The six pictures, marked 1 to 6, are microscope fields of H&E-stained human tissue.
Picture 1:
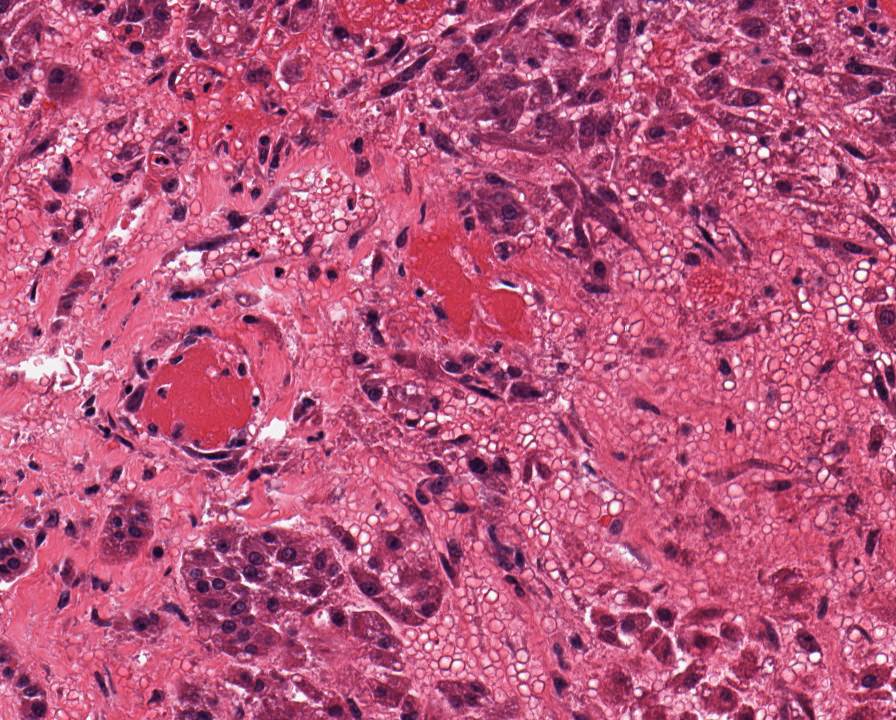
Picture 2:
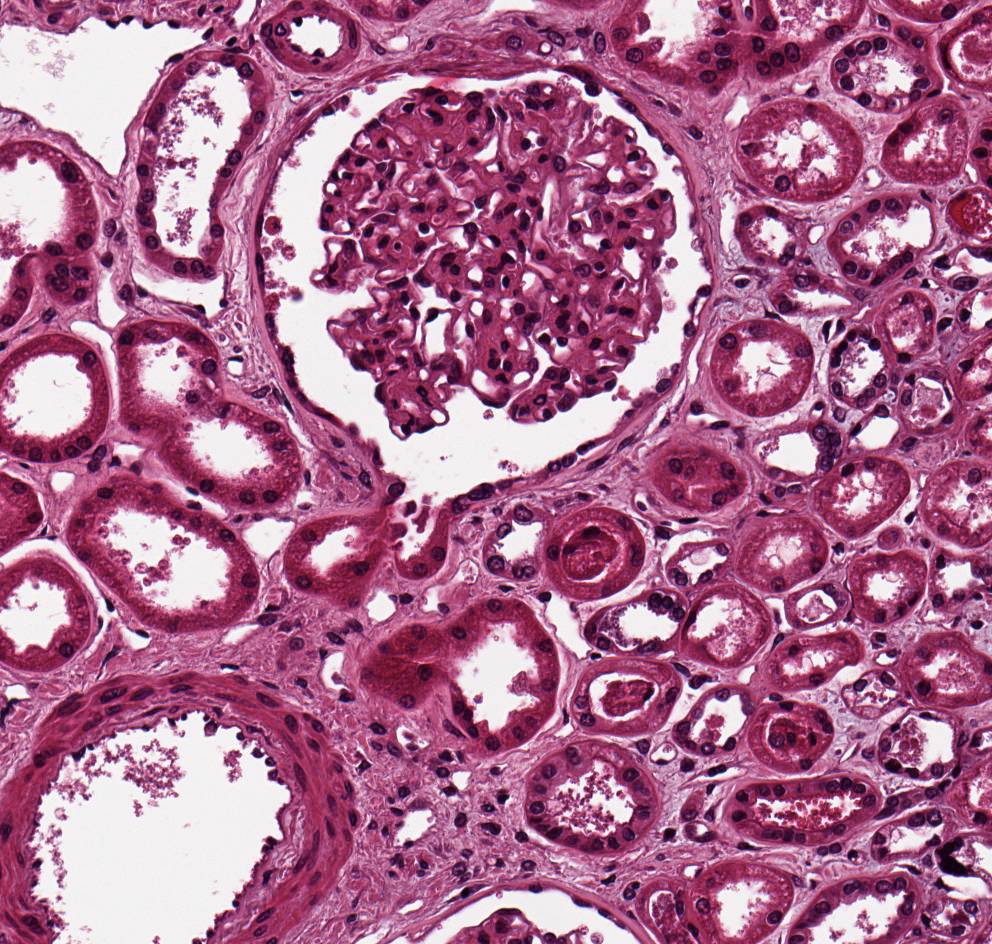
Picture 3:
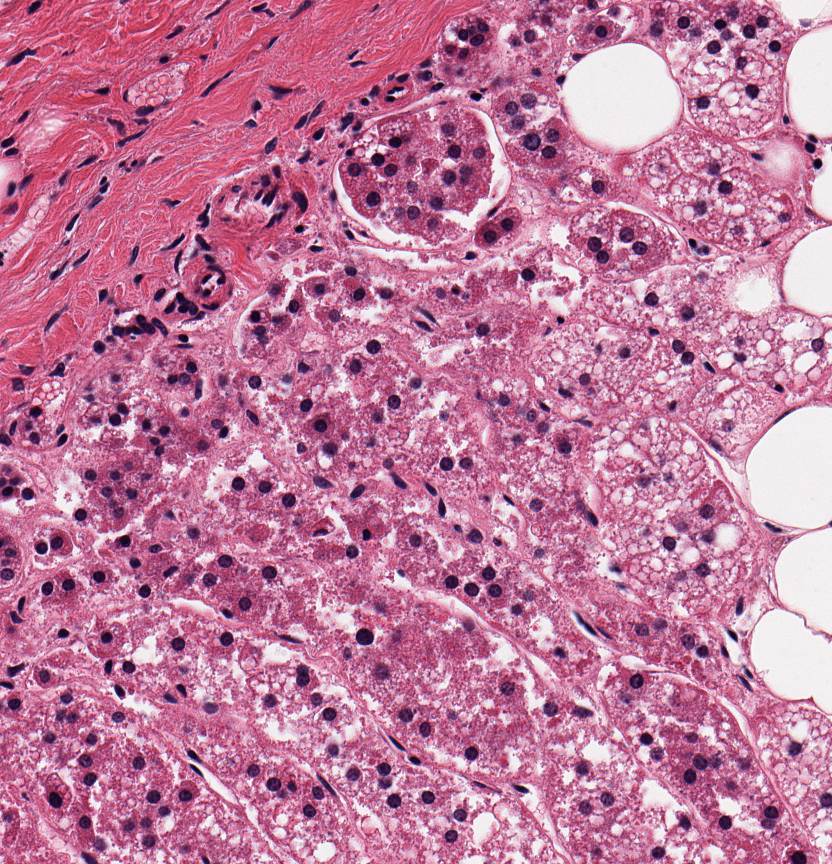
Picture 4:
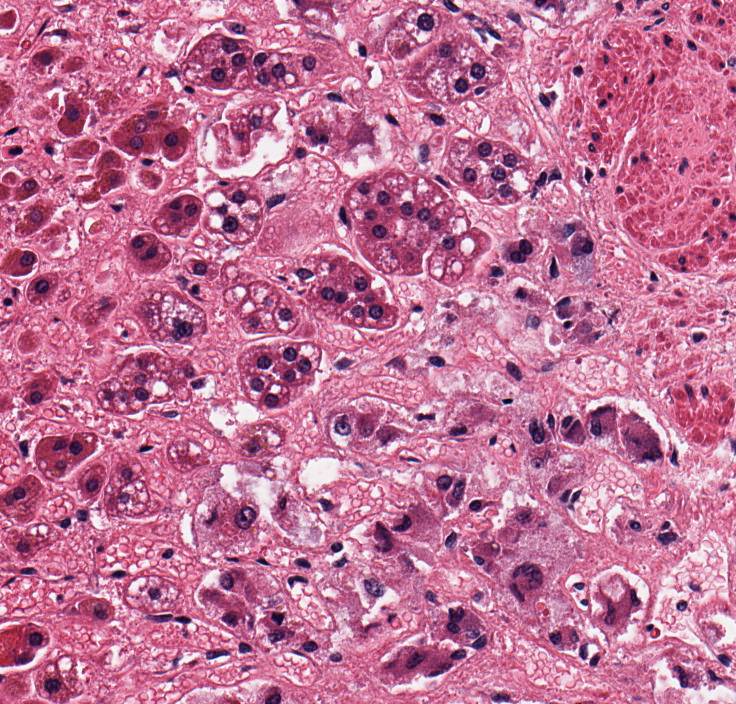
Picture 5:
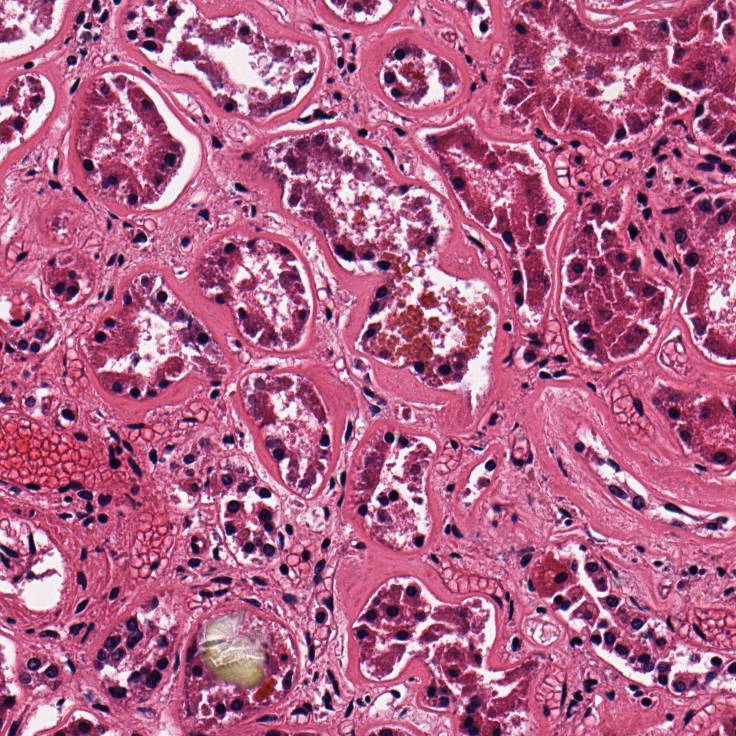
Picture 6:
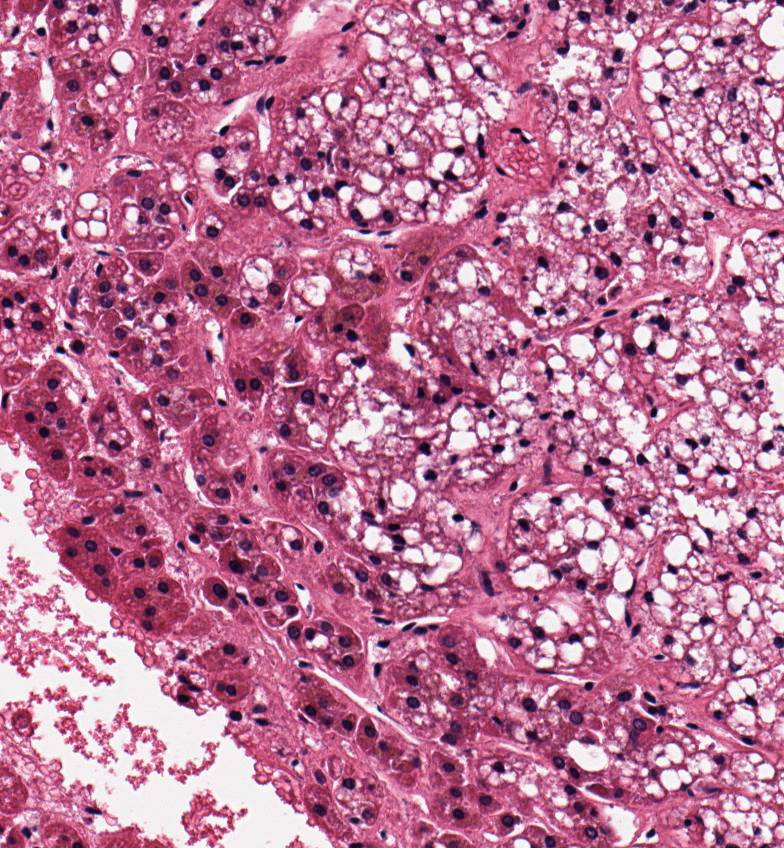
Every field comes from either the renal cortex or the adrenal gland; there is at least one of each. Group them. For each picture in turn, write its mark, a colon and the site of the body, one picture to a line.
1: adrenal gland
2: renal cortex
3: adrenal gland
4: adrenal gland
5: renal cortex
6: adrenal gland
